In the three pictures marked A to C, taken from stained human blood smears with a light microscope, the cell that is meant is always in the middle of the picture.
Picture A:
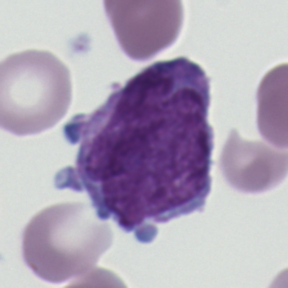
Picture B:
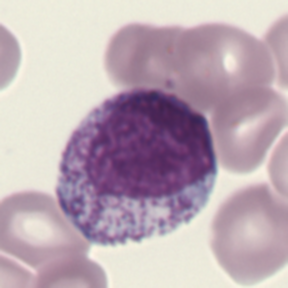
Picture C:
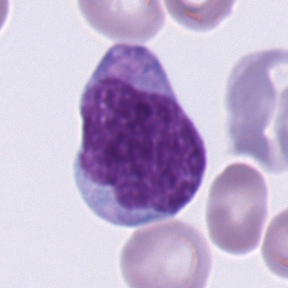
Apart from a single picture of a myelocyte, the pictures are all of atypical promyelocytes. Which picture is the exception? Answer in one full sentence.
The cell in picture B is the myelocyte.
